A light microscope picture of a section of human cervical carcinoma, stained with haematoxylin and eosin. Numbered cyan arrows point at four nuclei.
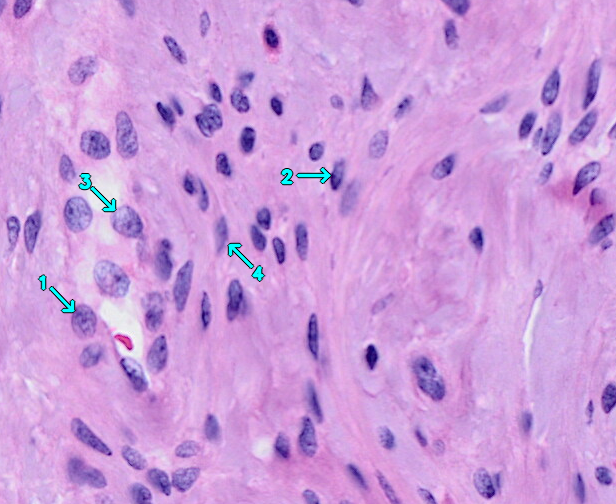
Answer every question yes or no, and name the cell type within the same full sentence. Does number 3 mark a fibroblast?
No, cell 3 is an endothelial cell and should not be called a fibroblast.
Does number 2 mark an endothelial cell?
No. Cell number 2 is a fibroblast, not an endothelial cell.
